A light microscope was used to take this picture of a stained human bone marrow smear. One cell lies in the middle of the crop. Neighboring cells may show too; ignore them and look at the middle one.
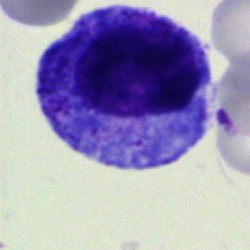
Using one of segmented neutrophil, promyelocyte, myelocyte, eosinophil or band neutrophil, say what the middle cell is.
promyelocyte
